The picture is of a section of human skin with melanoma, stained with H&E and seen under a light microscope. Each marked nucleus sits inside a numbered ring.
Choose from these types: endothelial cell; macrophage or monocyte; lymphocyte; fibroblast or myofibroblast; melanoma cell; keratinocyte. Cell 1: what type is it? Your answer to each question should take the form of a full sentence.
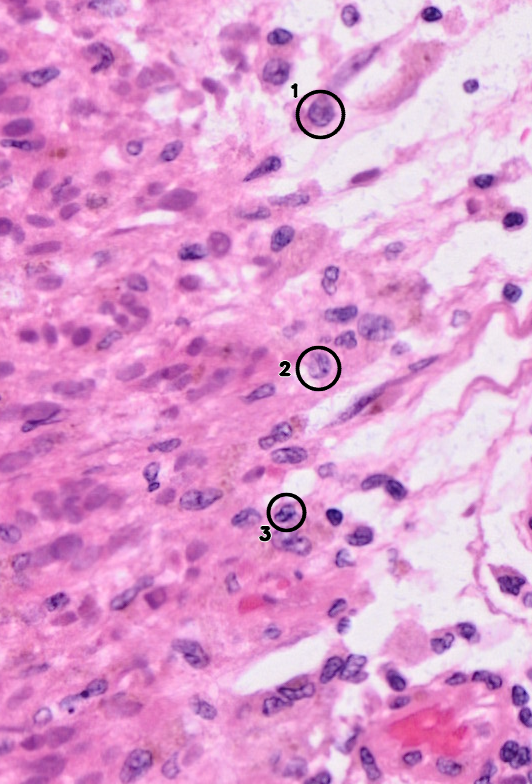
The correct answer for cell 1 is a macrophage or monocyte.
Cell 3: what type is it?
The cell marked with the number 3 is a lymphocyte.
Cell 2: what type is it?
The cell carrying label 2 is identified as a macrophage or monocyte.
